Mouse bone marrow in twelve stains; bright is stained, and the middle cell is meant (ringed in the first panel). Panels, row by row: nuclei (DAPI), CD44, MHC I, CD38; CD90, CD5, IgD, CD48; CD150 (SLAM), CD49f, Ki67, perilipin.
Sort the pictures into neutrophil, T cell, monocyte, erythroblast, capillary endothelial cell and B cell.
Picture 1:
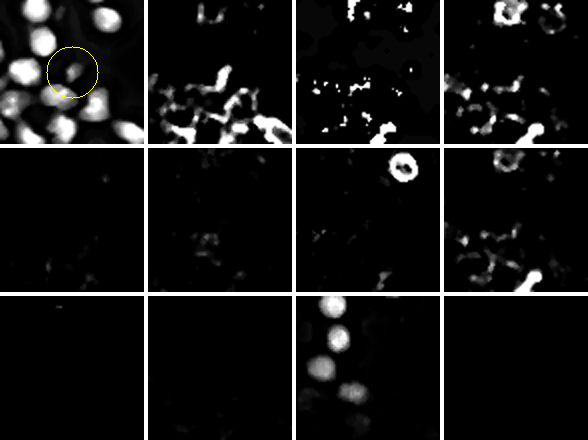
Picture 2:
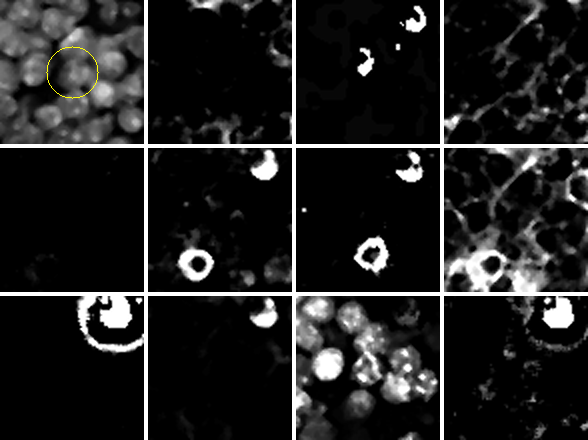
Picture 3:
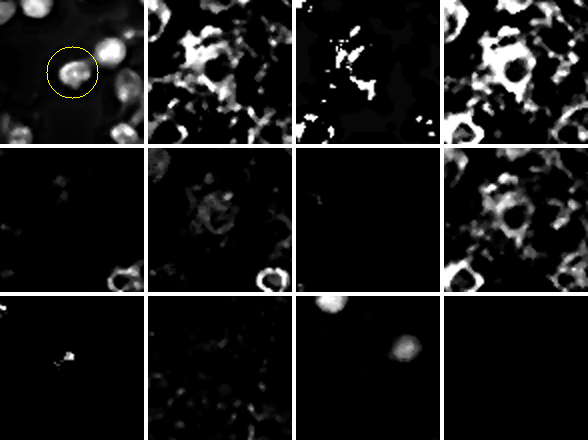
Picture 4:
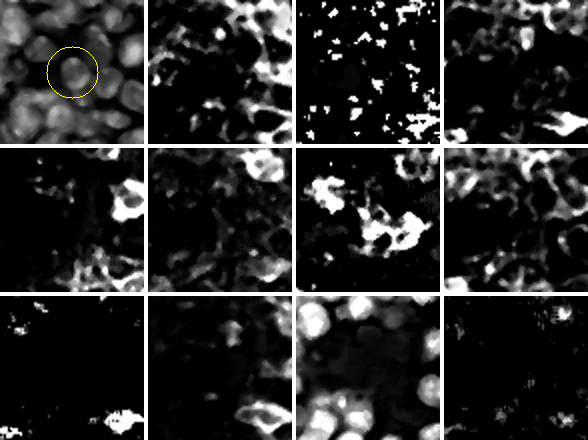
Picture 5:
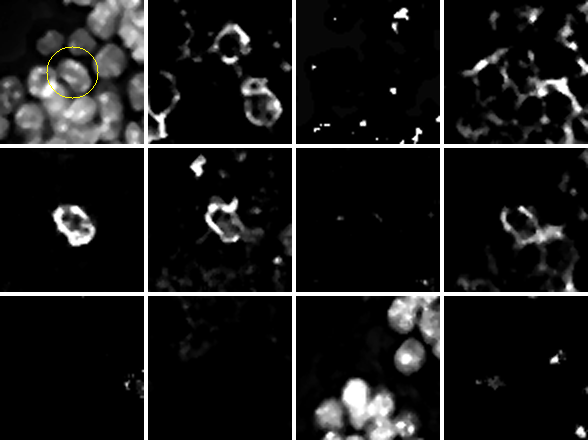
Neutrophils: 1
Erythroblasts: 2
Monocytes: 3
B cells: 4
T cells: 5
